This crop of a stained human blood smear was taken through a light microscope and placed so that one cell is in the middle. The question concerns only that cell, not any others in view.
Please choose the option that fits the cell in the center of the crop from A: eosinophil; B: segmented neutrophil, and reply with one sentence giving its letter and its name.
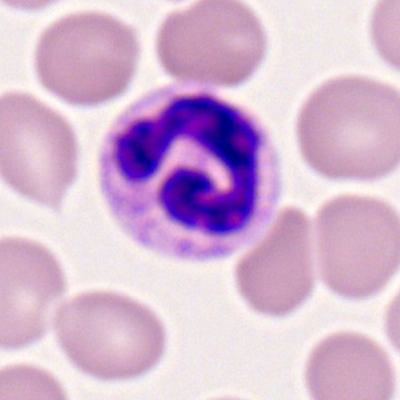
The correct choice is option B, which identifies the middle cell as a segmented neutrophil.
